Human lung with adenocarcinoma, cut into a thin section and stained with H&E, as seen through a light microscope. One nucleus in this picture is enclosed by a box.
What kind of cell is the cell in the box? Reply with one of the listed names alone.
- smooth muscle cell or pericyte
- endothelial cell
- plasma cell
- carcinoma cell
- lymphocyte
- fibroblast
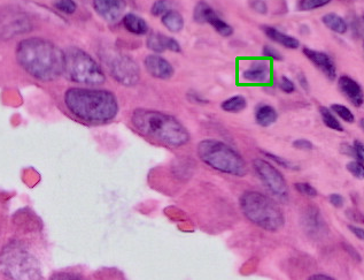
lymphocyte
